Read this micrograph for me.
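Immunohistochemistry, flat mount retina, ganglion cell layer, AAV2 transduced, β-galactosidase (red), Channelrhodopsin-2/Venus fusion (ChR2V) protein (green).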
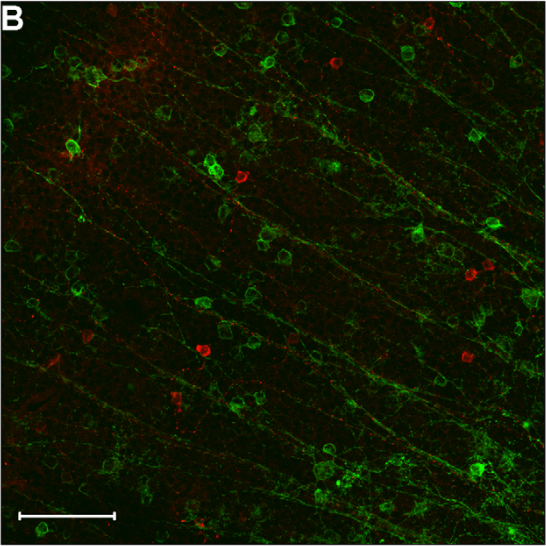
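Many round to oval cell bodies are outlined in green, scattered fairly evenly across the field. Long, thin green fibres run in parallel, diagonally across the image, as bundles of axons that pass between the cell bodies. Fewer cell bodies are filled with red, and these are mostly separate from the green-outlined ones. The red cells appear smaller and more compact than many of the green ones.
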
